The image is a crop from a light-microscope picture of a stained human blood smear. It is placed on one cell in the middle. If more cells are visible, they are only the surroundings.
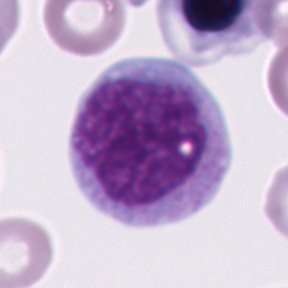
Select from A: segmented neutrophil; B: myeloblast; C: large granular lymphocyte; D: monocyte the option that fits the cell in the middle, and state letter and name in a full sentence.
That cell in the center is a monocyte, hence option D.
